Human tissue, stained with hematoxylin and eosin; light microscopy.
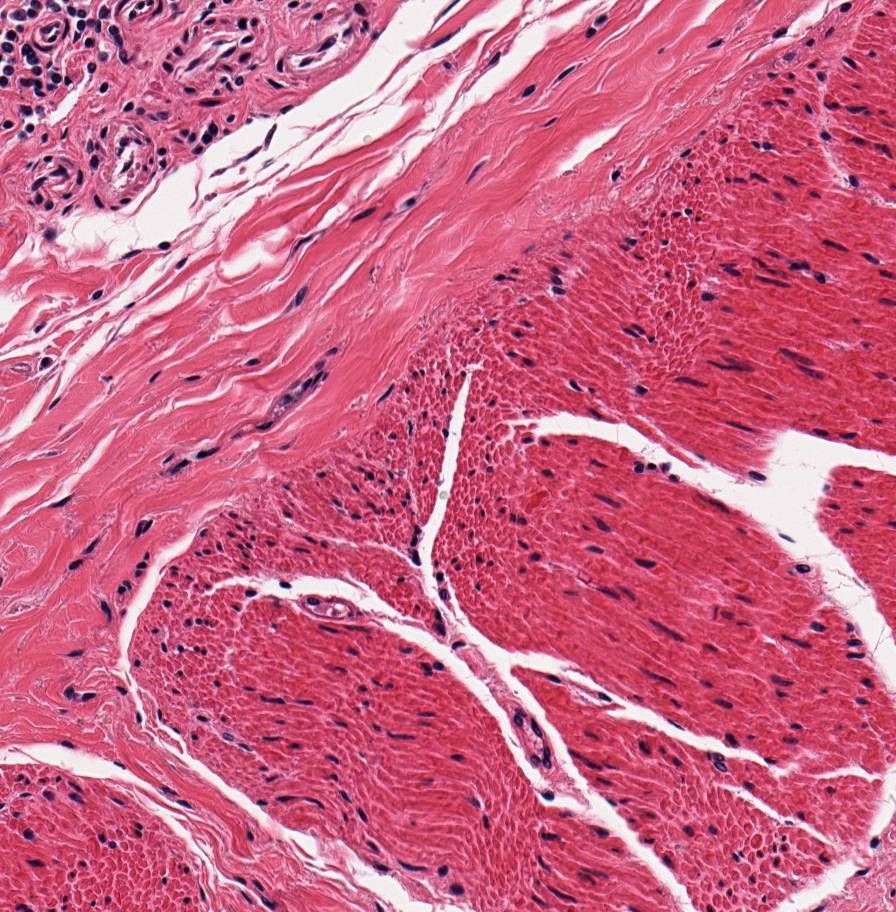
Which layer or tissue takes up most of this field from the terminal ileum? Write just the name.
smooth muscle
